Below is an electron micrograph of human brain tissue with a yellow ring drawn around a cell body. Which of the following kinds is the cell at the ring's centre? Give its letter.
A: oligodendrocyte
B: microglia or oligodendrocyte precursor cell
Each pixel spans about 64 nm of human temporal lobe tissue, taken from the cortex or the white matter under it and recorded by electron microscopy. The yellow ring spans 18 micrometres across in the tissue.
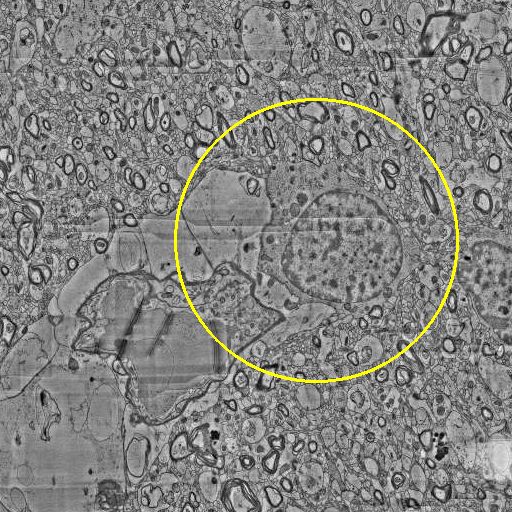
A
